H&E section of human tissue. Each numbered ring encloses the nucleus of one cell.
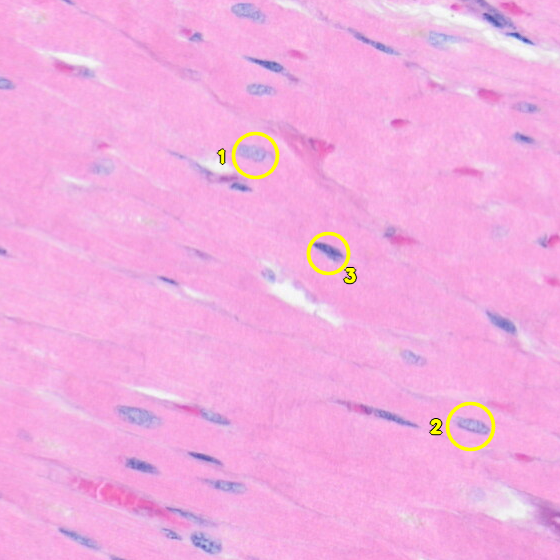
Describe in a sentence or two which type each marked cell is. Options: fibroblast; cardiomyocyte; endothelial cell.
Cells 1 and 2 are cardiomyocytes. Cell 3 is an endothelial cell.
